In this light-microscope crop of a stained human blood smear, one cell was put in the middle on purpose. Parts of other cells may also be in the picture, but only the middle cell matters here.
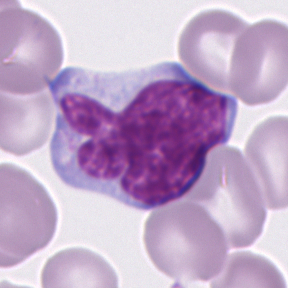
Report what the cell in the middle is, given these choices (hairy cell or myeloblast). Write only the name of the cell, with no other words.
myeloblast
